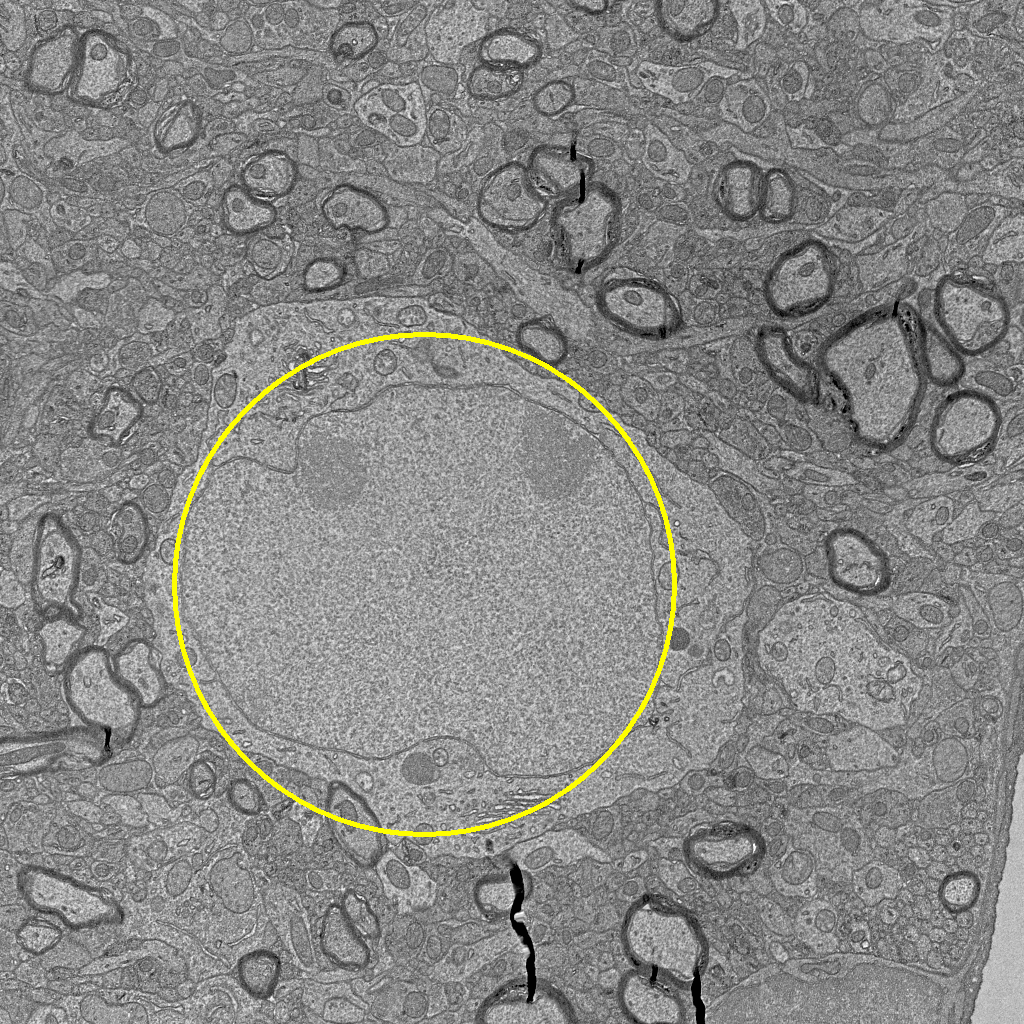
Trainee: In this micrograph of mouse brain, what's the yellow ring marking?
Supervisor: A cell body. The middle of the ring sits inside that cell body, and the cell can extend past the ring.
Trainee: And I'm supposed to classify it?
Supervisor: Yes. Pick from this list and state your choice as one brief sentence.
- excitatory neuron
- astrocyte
The cell at the ring's center is an excitatory neuron.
